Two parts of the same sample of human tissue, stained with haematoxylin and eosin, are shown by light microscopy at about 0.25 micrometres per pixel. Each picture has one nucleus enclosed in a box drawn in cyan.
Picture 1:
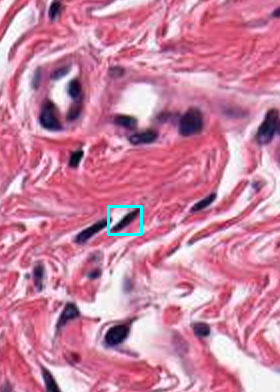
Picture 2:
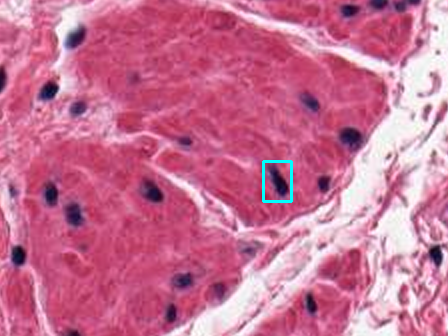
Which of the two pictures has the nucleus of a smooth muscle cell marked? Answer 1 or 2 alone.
2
